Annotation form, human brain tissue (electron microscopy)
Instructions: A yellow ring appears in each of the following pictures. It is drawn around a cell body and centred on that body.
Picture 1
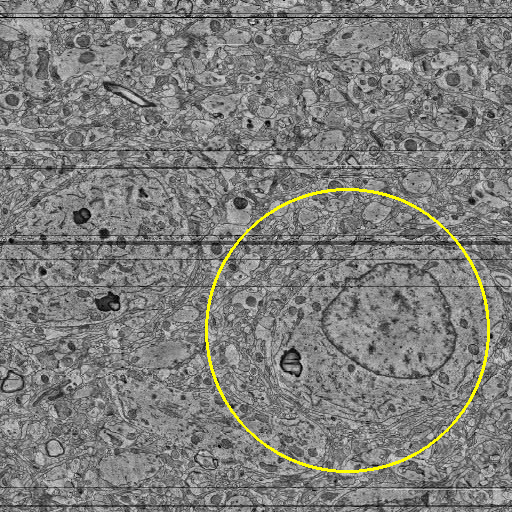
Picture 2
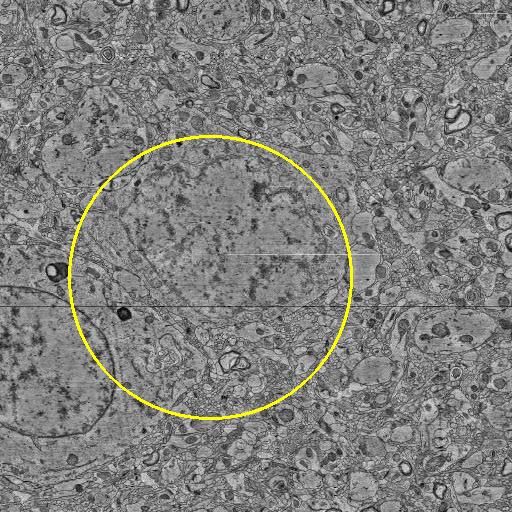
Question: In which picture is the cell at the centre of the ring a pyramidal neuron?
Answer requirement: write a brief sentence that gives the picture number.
The cell at the centre of the ring in Picture 1 is the one asked for.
